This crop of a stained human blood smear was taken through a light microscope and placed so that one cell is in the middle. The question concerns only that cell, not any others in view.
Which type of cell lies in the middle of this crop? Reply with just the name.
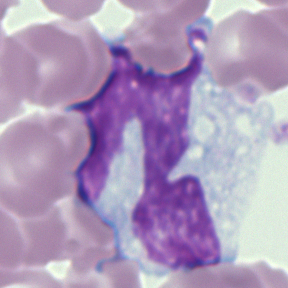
monocyte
